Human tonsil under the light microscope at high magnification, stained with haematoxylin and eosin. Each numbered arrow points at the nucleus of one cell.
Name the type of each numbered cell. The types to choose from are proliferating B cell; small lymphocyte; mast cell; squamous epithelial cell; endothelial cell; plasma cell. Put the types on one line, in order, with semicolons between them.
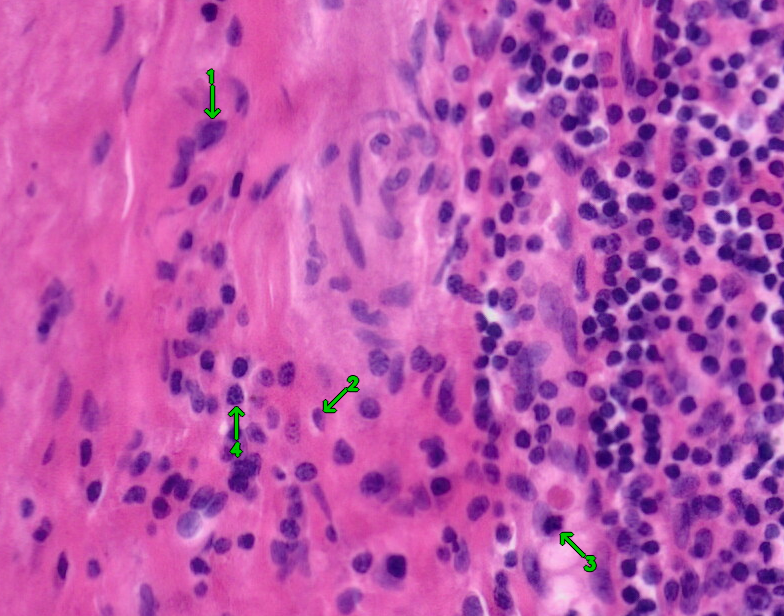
endothelial cell; mast cell; endothelial cell; plasma cell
